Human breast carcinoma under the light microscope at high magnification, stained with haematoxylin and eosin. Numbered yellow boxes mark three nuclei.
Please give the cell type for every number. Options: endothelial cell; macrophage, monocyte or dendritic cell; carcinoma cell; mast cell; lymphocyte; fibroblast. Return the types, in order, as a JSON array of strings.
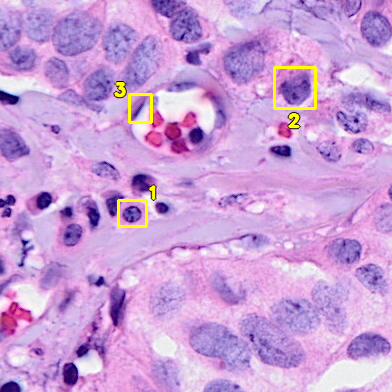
["mast cell", "carcinoma cell", "endothelial cell"]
